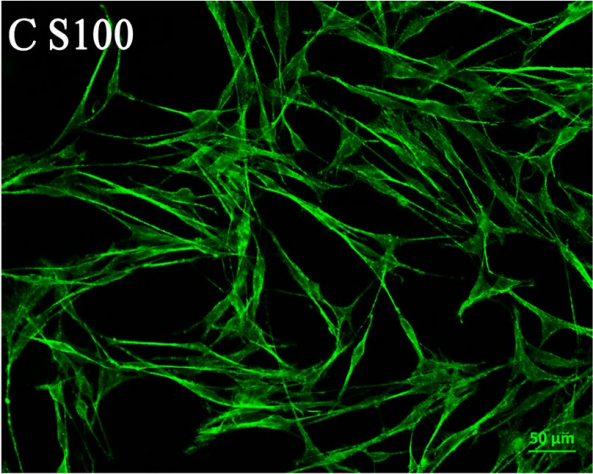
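Cultured Schwann cells filled throughout with green fluorescence. The cells are slender and spindle-shaped, most of them bipolar, with long thin processes running out from both poles. Processes of neighbouring cells cross and run alongside one another, forming a loose interwoven network with dark spaces between.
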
